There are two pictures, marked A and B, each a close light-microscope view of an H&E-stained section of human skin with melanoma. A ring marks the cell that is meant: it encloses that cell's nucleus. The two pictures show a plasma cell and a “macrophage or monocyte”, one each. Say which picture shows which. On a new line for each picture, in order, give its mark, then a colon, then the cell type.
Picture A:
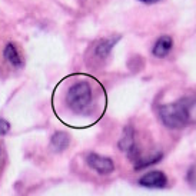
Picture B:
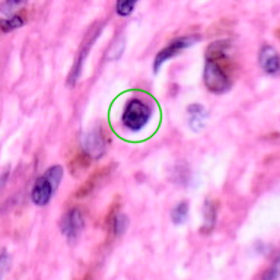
A: macrophage or monocyte
B: plasma cell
